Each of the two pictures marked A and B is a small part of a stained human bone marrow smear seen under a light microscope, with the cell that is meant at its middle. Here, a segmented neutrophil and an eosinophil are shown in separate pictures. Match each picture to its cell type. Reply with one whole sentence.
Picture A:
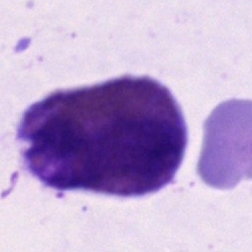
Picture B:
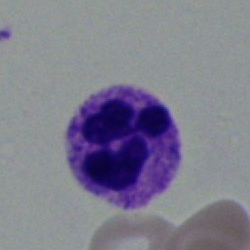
Picture A shows an eosinophil and picture B shows a segmented neutrophil.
